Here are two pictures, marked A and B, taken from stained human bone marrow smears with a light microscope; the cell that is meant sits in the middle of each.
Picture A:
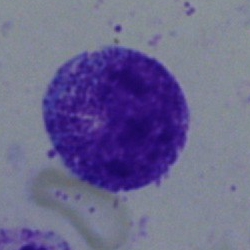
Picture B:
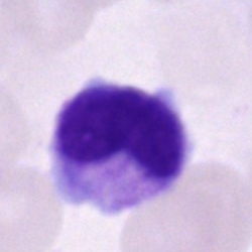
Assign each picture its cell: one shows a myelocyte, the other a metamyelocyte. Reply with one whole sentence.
It is picture A that shows a myelocyte, and picture B that shows a metamyelocyte.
